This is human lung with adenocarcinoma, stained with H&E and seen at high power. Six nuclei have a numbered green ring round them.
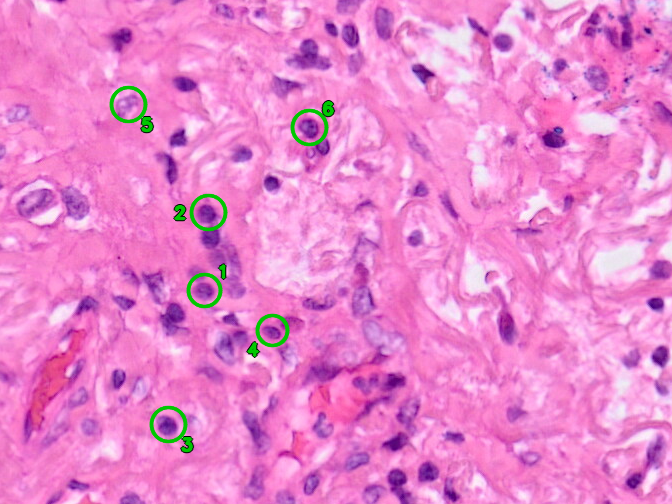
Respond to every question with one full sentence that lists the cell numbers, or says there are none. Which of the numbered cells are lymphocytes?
Identification: the cells with numbers 1, 2 and 3 are lymphocytes.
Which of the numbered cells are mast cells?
Into the category of mast cells fall the cells numbered 4 and 6.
